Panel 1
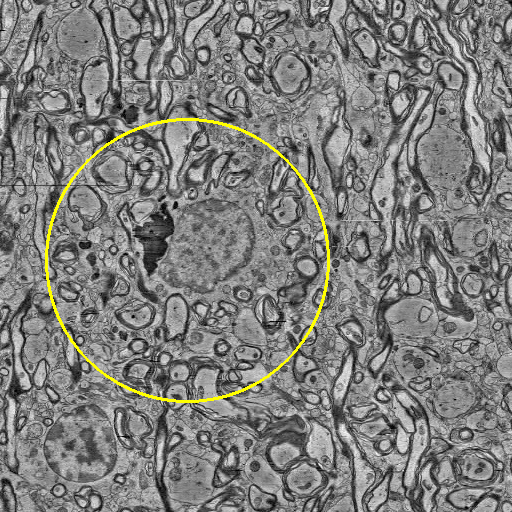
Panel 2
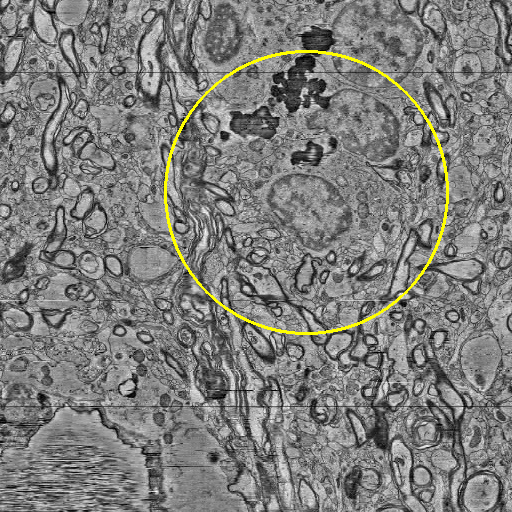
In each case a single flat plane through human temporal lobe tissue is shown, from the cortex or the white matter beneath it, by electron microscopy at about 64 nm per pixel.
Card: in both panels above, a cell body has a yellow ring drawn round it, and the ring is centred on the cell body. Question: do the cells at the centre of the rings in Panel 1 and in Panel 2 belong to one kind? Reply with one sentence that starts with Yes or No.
Yes, the cells centred in the rings of Panel 1 and Panel 2 are one kind of cell.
